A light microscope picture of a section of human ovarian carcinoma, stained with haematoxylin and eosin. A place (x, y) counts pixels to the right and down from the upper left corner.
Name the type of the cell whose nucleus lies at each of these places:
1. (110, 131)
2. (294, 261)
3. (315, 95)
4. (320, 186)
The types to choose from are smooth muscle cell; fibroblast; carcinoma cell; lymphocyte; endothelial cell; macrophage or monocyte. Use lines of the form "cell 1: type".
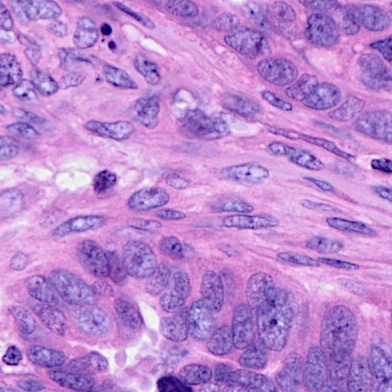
cell 1: fibroblast
cell 2: fibroblast
cell 3: carcinoma cell
cell 4: fibroblast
